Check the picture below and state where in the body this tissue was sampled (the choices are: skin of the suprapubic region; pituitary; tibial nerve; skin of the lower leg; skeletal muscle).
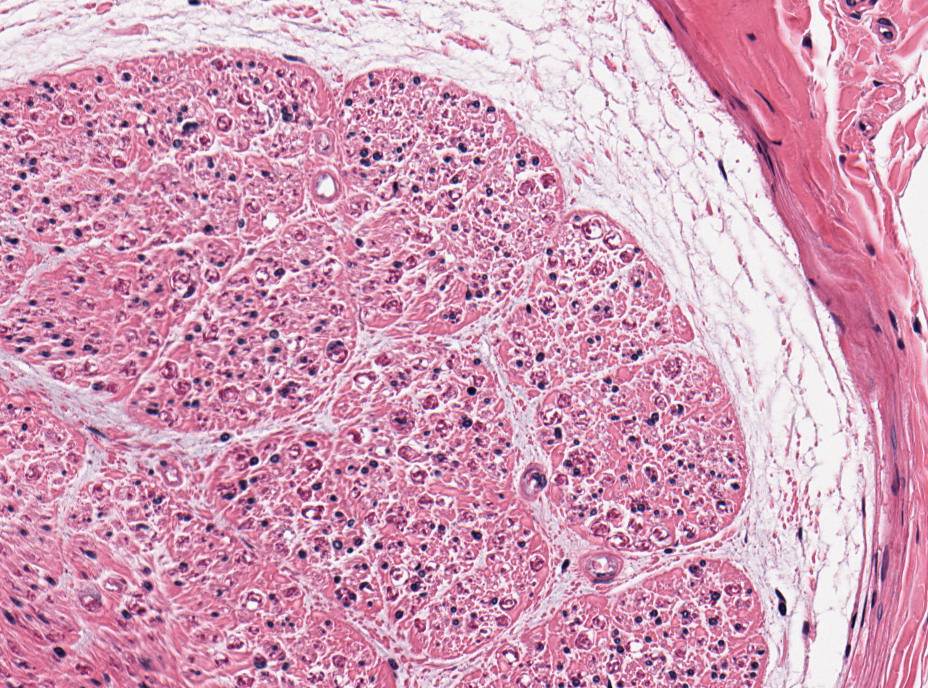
tibial nerve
